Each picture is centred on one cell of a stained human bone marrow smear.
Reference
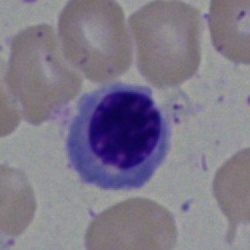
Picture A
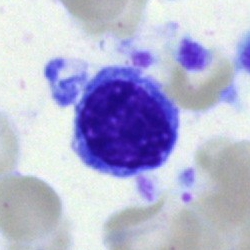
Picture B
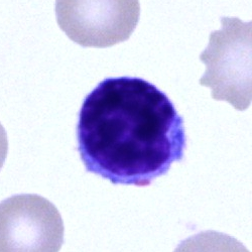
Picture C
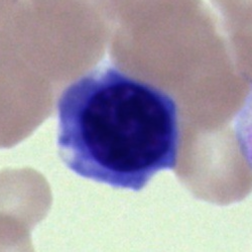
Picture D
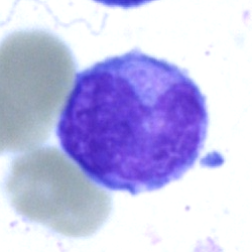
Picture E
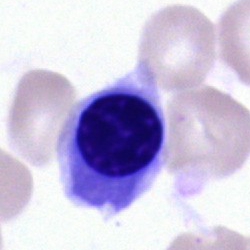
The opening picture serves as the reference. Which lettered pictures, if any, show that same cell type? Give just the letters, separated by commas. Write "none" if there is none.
C, E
